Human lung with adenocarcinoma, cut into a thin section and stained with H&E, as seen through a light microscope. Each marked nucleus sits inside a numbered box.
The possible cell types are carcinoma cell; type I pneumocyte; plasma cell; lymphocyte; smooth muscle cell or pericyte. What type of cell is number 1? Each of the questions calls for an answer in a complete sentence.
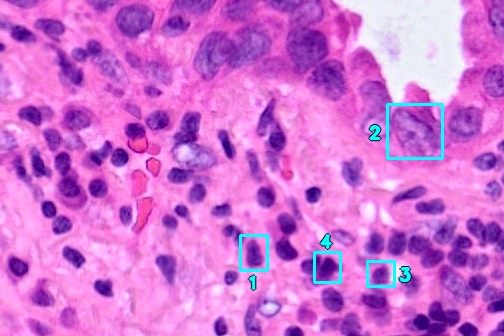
The expected answer is that cell 1 is a lymphocyte.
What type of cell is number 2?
The nucleus labeled 2 belongs to a carcinoma cell.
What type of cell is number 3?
The cell that is numbered 3 is a lymphocyte.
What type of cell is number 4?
Within this field of view, the cell labelled 4 is a plasma cell.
